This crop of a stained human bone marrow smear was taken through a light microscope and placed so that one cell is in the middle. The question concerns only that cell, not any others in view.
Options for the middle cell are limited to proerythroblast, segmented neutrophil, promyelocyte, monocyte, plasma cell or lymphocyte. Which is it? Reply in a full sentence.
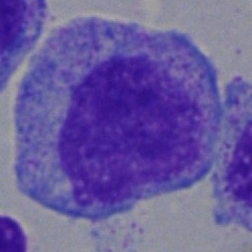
The cell in the middle of this crop is a promyelocyte.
